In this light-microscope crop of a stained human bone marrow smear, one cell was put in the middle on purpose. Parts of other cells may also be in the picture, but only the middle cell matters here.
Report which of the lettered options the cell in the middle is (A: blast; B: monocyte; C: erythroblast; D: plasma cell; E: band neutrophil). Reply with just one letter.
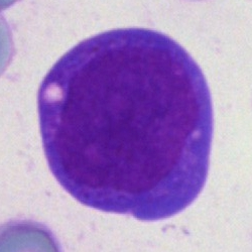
A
